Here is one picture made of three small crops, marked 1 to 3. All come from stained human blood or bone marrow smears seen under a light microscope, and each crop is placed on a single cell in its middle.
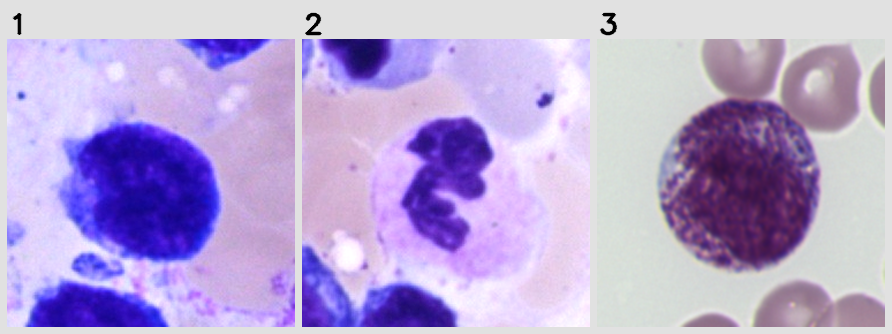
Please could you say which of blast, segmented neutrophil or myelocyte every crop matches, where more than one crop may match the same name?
1: blast
2: segmented neutrophil
3: myelocyte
